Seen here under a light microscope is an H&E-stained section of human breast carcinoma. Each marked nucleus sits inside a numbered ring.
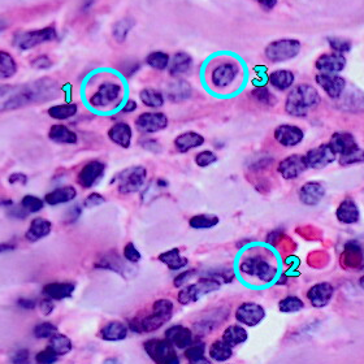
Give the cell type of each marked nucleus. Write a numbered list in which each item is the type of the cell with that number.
1. lymphocyte
2. lymphocyte
3. mast cell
